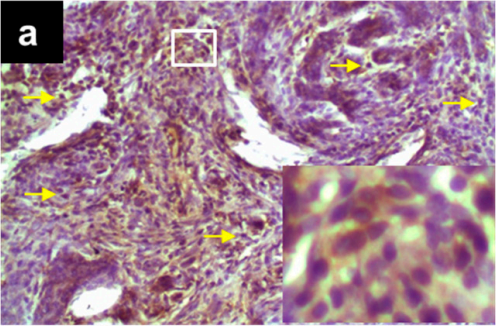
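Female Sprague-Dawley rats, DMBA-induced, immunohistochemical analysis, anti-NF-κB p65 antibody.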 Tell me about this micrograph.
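This is a densely cellular mammary tumor, with crowded tumor cells arranged in sheets and whorled nests separated by narrow stromal bands and a few clear vascular spaces. A strong brown stain is spread widely through the tumor, lying over many cell clusters. In the enlarged inset the tumor cells have large oval nuclei packed closely together, and many of these nuclei take on a brown tint, with brown also in the cytoplasm around them.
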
